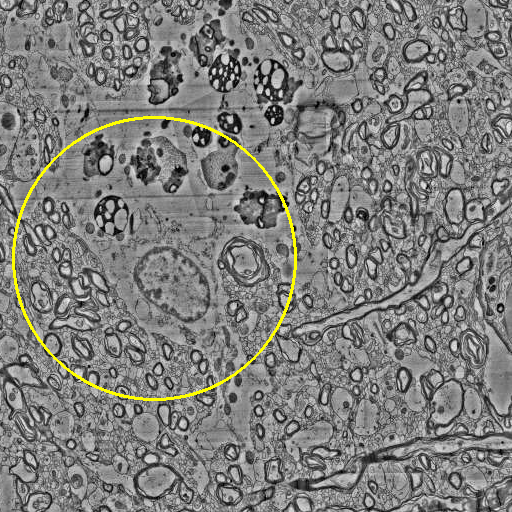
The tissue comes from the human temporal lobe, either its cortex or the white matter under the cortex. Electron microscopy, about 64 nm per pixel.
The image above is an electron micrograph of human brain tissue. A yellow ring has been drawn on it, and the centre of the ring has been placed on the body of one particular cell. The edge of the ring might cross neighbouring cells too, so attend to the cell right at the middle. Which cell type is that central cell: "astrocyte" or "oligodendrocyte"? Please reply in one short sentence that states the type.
The central cell in the ring is an astrocyte.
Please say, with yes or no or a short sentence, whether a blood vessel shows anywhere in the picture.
Yes.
